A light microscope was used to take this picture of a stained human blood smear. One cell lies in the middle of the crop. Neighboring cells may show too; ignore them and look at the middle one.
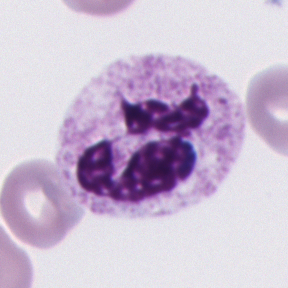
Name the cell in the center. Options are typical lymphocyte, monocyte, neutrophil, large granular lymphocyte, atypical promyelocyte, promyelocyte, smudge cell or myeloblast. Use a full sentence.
The cell featured at the centre of this crop is a neutrophil.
